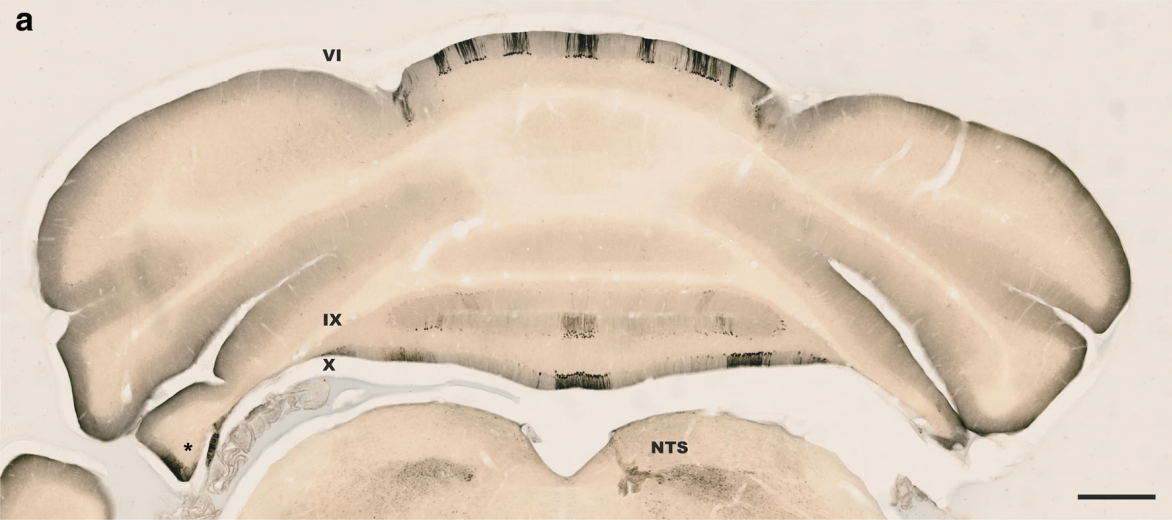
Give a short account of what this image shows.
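This is a coronal section through the whole cerebellum with the brainstem below. The large lateral hemispheres are almost unstained apart from a small dark patch on a lateral lobule. White matter appears as pale branching tracts within the folia.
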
